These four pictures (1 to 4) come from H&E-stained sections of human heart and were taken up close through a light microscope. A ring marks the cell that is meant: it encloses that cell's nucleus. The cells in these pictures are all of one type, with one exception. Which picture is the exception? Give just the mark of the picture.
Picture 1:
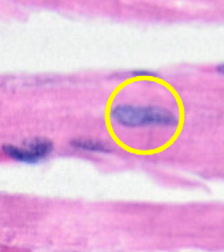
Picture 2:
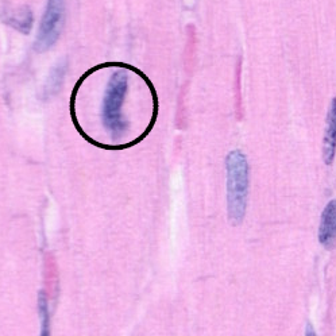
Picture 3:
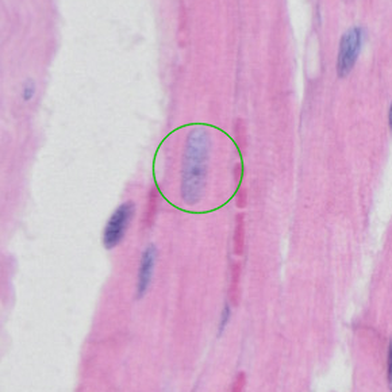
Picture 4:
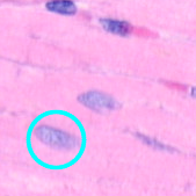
2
